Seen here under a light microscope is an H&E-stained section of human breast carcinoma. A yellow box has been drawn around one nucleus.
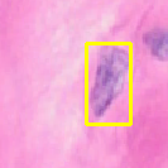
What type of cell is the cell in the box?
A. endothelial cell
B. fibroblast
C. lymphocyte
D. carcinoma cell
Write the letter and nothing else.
B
